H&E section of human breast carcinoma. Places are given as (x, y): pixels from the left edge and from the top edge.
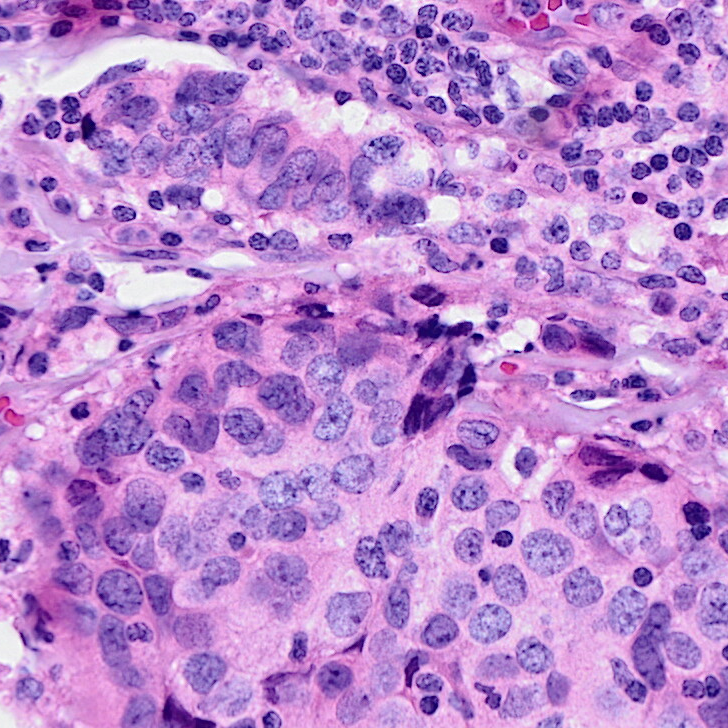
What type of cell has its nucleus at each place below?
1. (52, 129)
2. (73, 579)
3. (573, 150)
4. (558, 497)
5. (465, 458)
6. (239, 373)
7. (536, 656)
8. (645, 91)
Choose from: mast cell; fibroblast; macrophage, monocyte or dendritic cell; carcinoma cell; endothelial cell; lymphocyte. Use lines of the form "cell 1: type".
cell 1: lymphocyte
cell 2: carcinoma cell
cell 3: lymphocyte
cell 4: carcinoma cell
cell 5: carcinoma cell
cell 6: carcinoma cell
cell 7: carcinoma cell
cell 8: lymphocyte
